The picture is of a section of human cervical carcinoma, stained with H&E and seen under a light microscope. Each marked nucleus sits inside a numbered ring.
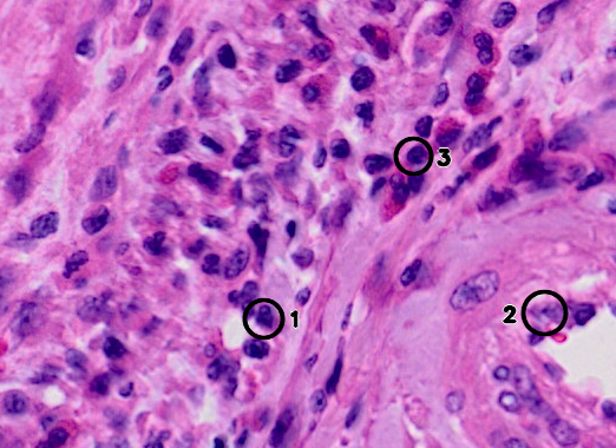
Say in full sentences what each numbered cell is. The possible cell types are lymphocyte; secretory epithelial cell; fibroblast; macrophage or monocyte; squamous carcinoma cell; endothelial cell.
Cell 1 is a lymphocyte, cell 2 is an endothelial cell and cell 3 is a lymphocyte.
